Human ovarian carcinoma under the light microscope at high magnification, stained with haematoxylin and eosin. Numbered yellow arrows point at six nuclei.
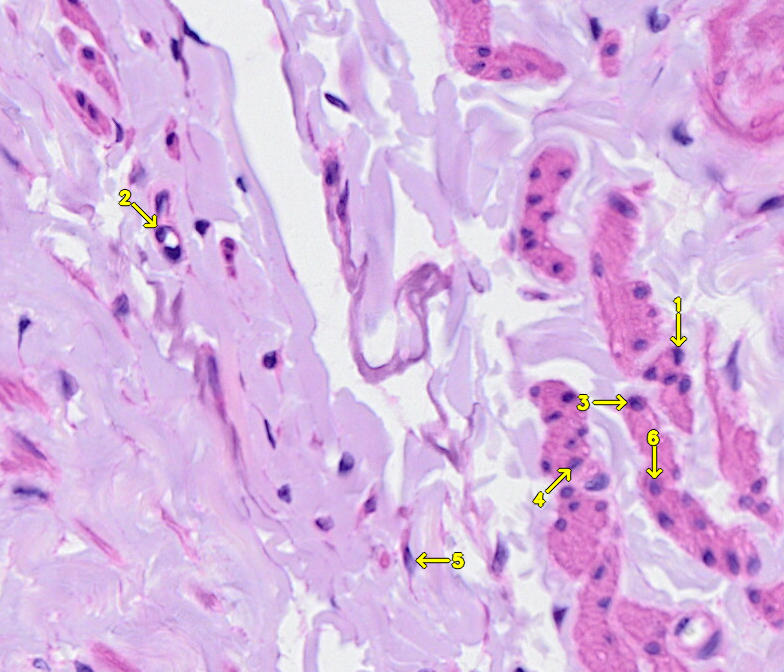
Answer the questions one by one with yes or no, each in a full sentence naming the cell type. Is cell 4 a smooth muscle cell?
Yes, the numbered cell 4 is identified as a smooth muscle cell.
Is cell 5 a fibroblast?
Yes, a fibroblast is what the cell numbered 5 is.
